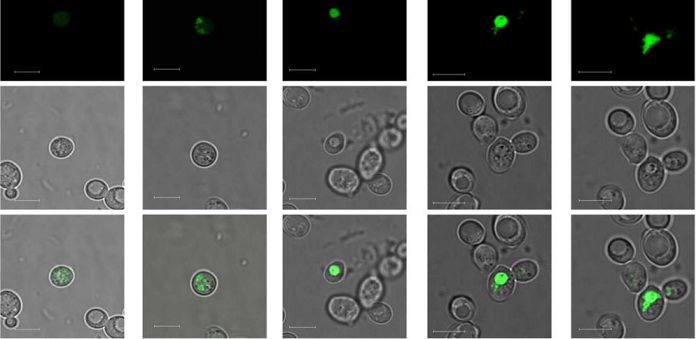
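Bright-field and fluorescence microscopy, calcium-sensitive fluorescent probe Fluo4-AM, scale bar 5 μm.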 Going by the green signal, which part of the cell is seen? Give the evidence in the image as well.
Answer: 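Vacuoles. Green fluorescence fills a rounded compartment inside single cells. In the merged images the green area lies within the cell outline, not over the whole cell.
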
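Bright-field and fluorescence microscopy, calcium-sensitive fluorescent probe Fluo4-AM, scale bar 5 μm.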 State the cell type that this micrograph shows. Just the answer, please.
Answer: Yeast cells.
